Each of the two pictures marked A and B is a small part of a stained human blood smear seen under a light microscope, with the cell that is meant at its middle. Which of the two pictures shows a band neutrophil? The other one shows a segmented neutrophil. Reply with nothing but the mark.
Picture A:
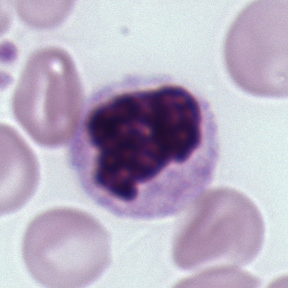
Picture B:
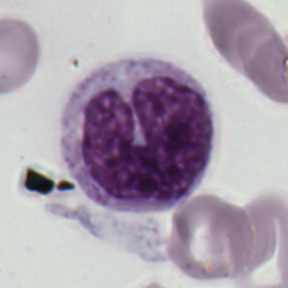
B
